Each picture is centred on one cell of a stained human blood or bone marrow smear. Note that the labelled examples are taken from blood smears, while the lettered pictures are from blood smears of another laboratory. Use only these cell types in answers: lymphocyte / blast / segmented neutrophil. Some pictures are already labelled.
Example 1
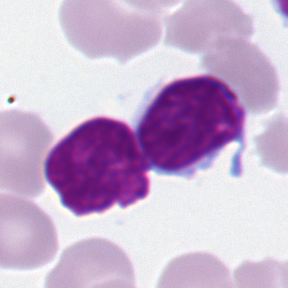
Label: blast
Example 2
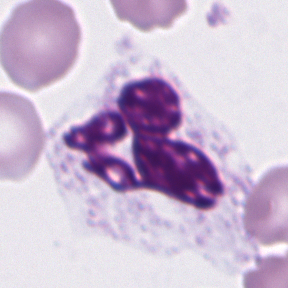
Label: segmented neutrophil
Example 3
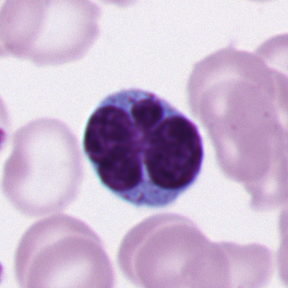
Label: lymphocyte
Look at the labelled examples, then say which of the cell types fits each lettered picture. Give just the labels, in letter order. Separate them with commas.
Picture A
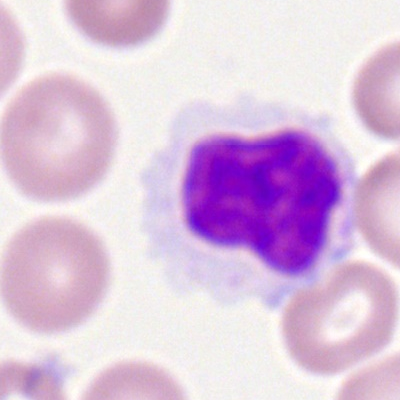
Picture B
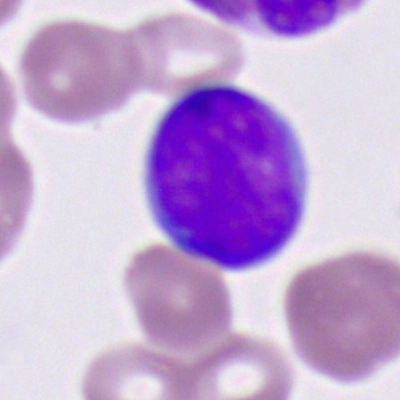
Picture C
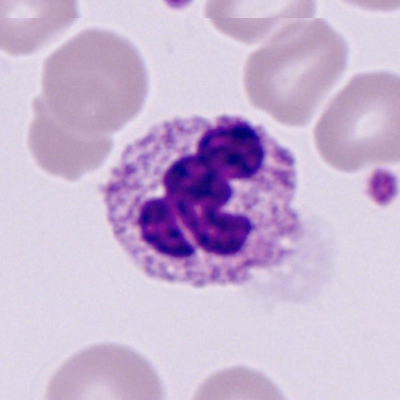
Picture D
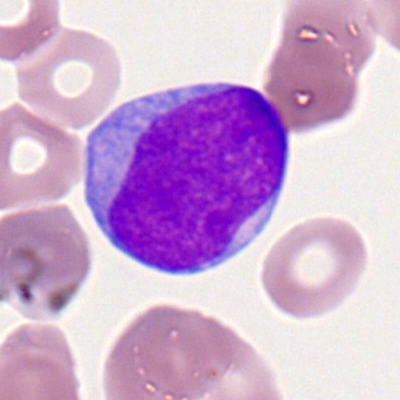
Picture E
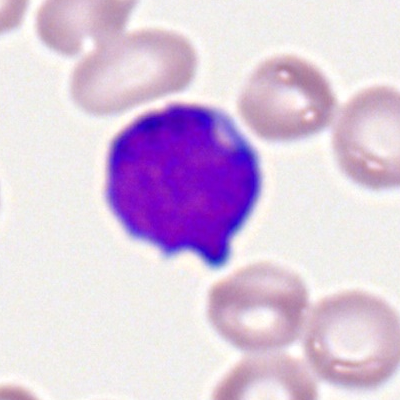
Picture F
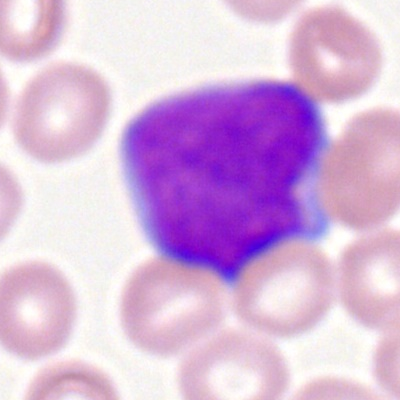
lymphocyte, blast, segmented neutrophil, blast, blast, blast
